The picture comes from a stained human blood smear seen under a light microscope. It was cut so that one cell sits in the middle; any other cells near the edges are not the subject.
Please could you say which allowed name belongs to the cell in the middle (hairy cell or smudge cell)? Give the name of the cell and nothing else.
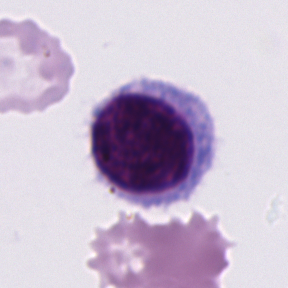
hairy cell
